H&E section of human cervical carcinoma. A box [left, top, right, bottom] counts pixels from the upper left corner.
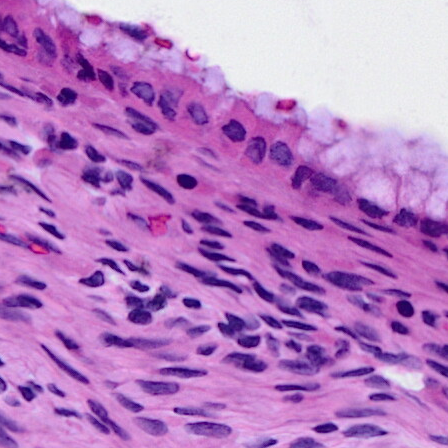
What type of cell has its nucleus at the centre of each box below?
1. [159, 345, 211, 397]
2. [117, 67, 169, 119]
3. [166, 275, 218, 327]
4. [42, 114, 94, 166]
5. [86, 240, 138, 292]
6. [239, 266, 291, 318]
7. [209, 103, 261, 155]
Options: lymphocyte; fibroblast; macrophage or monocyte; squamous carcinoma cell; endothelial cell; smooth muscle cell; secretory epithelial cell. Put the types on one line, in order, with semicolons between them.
fibroblast; secretory epithelial cell; fibroblast; lymphocyte; fibroblast; fibroblast; secretory epithelial cell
